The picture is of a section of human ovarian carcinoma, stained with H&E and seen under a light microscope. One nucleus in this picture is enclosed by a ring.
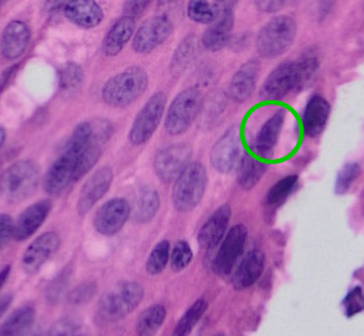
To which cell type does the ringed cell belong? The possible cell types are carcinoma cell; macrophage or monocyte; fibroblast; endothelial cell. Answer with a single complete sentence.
This is a carcinoma cell.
